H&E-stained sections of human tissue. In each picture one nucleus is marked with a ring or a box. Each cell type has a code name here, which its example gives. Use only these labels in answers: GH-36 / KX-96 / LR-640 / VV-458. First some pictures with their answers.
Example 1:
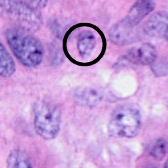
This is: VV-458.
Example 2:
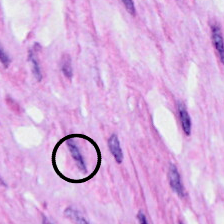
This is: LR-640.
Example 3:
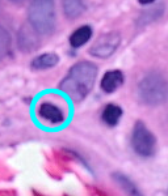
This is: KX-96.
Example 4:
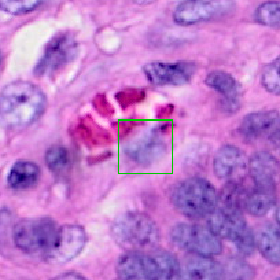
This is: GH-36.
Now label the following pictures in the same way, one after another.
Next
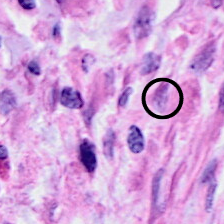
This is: LR-640.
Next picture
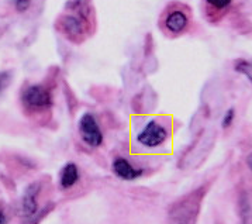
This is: KX-96.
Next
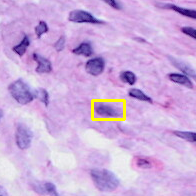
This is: LR-640.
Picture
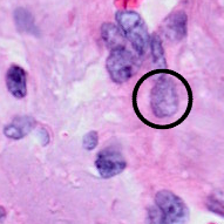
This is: GH-36.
